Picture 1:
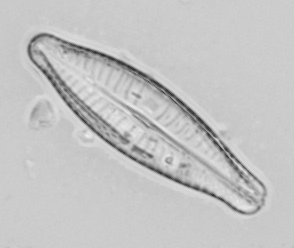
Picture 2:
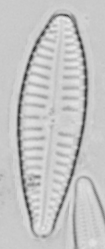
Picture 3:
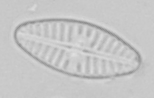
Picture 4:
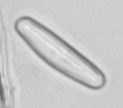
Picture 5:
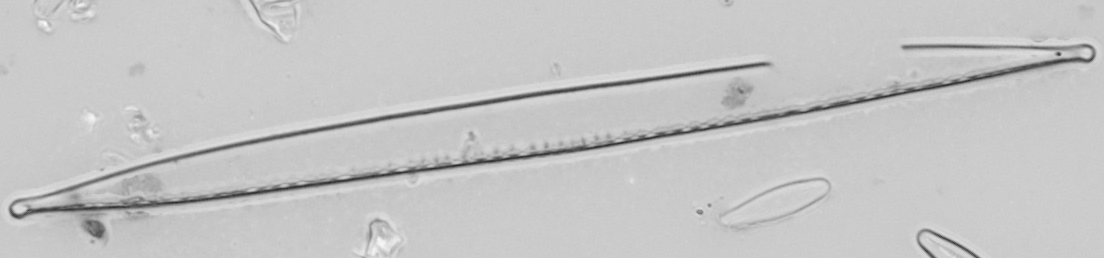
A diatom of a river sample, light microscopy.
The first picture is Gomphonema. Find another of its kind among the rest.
Picture 2.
